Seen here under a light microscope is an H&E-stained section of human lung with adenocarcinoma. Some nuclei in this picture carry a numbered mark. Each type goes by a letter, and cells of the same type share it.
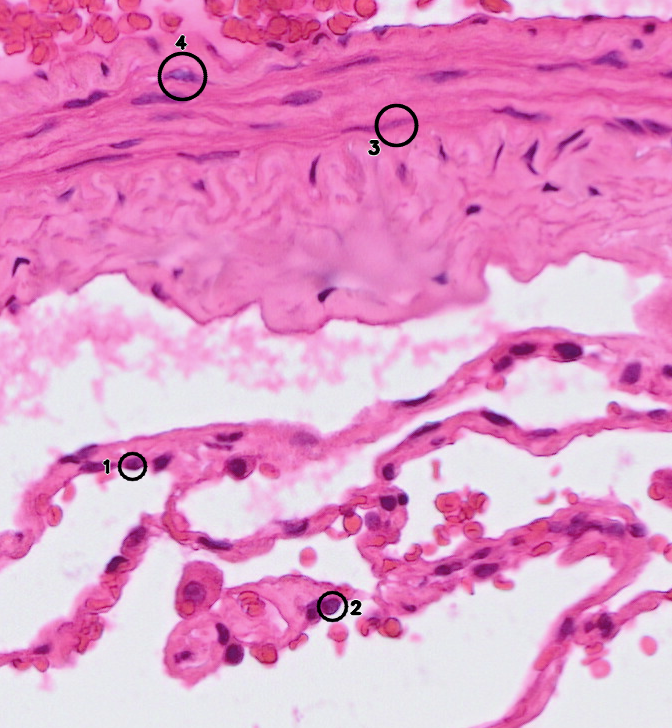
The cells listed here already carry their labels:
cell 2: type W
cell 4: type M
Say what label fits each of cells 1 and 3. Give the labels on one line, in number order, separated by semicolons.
type W; type M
